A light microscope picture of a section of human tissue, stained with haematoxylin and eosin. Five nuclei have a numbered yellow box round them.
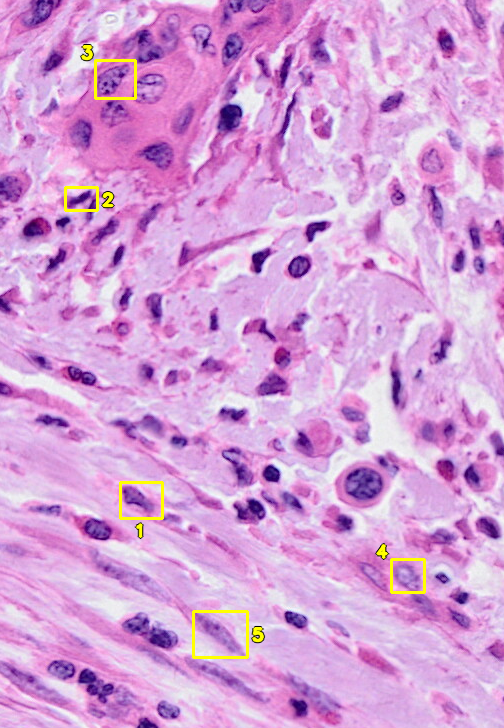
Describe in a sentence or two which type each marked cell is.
Cell 1 is a macrophage or monocyte, cell 2 is a fibroblast, cell 3 is a squamous carcinoma cell, cell 4 is an endothelial cell and cell 5 is a fibroblast.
